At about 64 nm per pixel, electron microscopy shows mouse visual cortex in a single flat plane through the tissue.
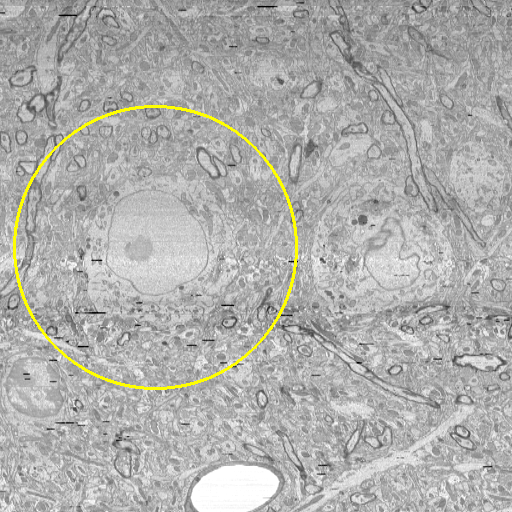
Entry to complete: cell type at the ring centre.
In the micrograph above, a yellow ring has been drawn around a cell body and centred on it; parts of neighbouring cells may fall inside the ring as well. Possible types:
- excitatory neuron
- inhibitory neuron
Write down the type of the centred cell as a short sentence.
The ring is centred on an excitatory neuron.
